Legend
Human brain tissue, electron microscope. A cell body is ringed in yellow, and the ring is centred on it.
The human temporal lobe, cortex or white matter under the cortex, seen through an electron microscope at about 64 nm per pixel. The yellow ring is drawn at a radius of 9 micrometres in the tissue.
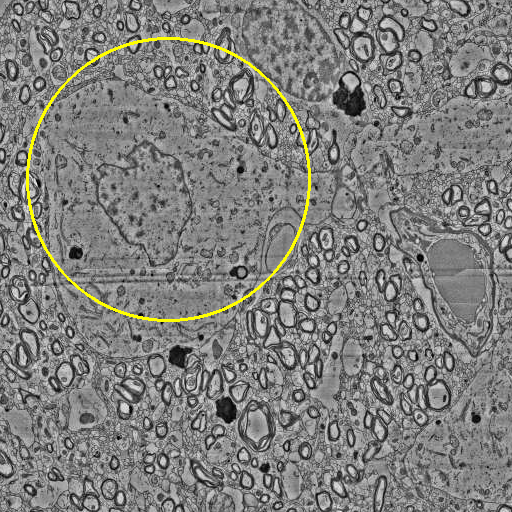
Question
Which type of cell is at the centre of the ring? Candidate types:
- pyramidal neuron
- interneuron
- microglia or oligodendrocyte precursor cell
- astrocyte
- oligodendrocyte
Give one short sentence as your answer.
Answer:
The yellow ring is centred here on a pyramidal neuron.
